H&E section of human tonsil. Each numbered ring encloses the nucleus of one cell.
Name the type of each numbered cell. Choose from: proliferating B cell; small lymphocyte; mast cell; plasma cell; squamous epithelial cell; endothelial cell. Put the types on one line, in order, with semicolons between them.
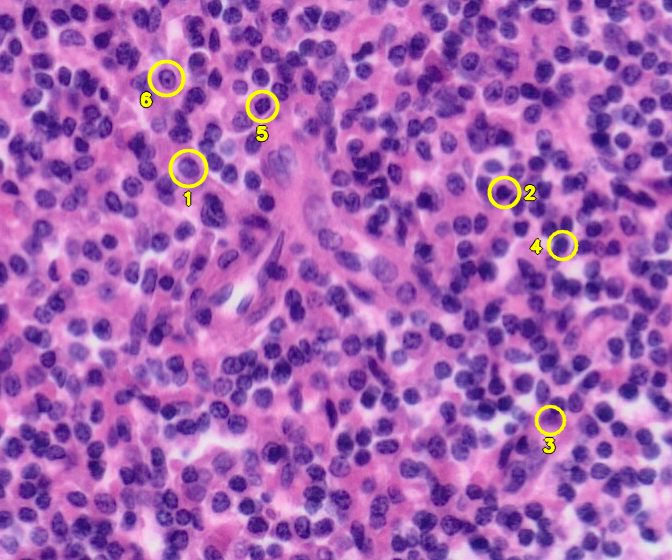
plasma cell; small lymphocyte; endothelial cell; small lymphocyte; plasma cell; plasma cell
